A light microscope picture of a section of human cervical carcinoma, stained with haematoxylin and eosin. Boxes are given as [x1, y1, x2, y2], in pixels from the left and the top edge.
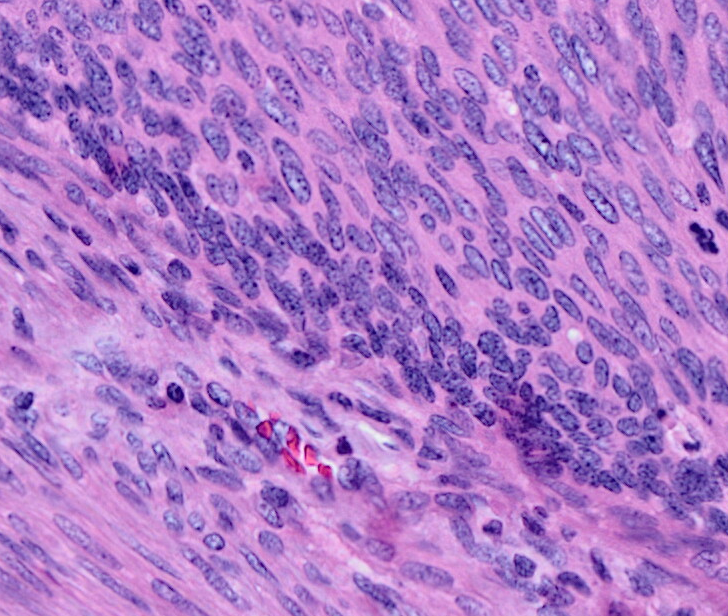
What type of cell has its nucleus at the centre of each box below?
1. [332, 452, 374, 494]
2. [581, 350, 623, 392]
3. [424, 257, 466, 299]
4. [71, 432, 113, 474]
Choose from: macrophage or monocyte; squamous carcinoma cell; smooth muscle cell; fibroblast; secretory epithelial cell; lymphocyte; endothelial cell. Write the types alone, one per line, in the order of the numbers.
endothelial cell
squamous carcinoma cell
squamous carcinoma cell
smooth muscle cell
